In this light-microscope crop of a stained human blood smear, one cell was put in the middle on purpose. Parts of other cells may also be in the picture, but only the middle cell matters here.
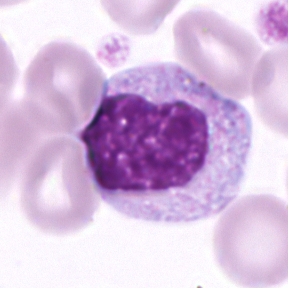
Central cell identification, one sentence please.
The cell marked by its central position in the crop is a myelocyte.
